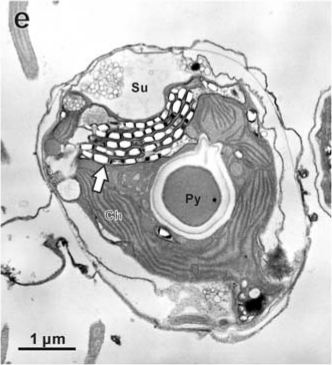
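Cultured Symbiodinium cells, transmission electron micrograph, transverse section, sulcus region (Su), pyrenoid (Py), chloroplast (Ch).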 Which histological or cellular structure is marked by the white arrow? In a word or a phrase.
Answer: Crystalline layers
